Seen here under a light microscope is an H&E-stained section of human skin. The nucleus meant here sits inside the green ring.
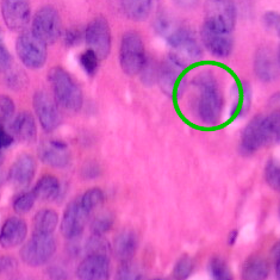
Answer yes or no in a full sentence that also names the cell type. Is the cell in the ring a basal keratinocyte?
Yes, the cell in the ring has been identified as a basal keratinocyte.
